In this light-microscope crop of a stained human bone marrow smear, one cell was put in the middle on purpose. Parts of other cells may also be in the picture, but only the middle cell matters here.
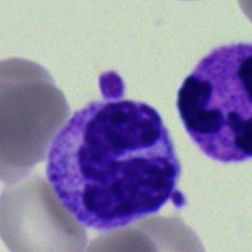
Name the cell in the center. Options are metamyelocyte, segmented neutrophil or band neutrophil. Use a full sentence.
The centered cell in this crop is a segmented neutrophil.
